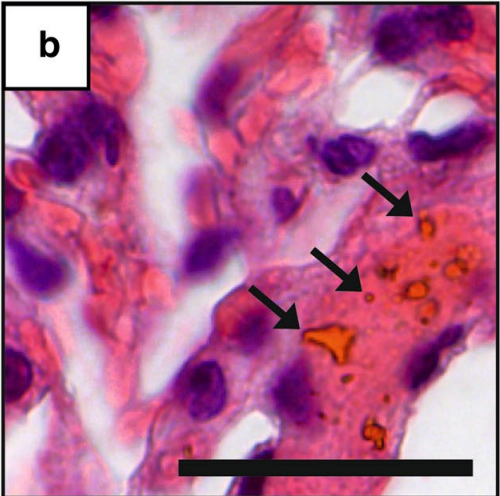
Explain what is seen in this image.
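This is lung tissue showing alveolar septa: thin strands of pink-staining tissue that separate clear, empty white air spaces. Dark purple, oval to rounded nuclei are scattered along the septa. Some nuclei are small and dense, while others are larger and paler. The septa contain pinkish-red cells, probably red blood cells within capillaries. In the thickened part of a septum there are several small, refractile orange-brown particle clusters of irregular shape and varying size. The largest cluster is an angular orange patch, and smaller droplets lie around it within the pink tissue.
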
